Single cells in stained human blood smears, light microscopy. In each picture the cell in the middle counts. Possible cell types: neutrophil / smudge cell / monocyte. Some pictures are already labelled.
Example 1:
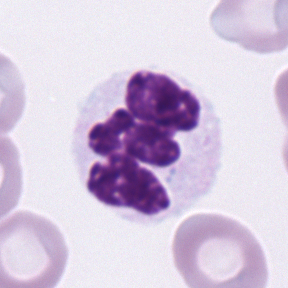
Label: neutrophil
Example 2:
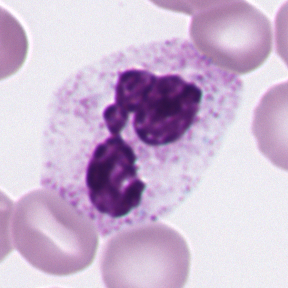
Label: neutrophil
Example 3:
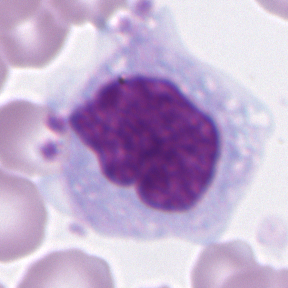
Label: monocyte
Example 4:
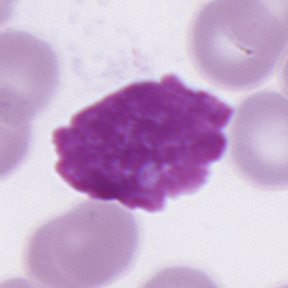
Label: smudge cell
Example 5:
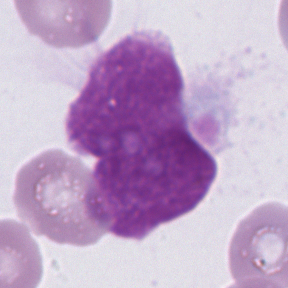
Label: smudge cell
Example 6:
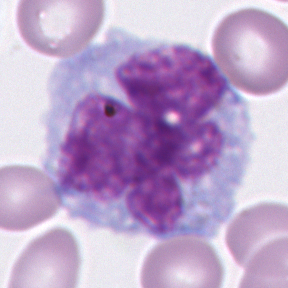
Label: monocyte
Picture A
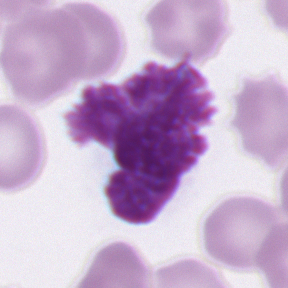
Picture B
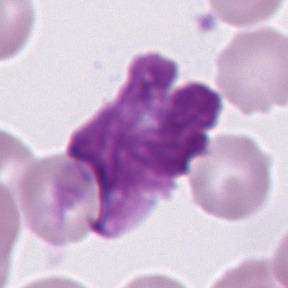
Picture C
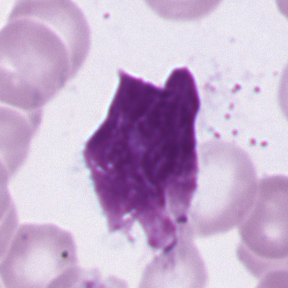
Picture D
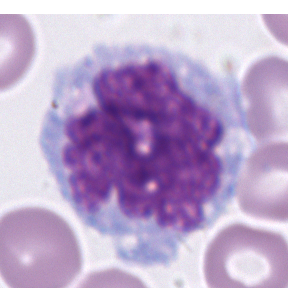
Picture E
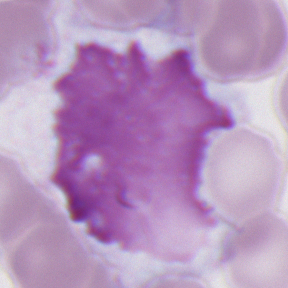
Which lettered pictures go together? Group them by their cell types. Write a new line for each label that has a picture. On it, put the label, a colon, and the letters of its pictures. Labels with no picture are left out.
smudge cell: A, B, C, E
monocyte: D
